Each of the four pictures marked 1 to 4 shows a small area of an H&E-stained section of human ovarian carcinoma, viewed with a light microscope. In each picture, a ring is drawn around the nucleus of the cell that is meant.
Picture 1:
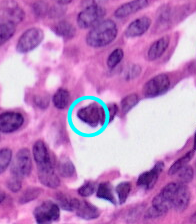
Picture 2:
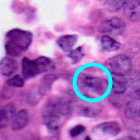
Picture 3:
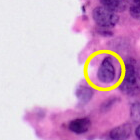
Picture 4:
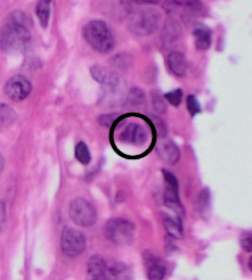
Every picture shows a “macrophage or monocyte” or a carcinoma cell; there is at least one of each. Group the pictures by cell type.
1: carcinoma cell
2: carcinoma cell
3: macrophage or monocyte
4: carcinoma cell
